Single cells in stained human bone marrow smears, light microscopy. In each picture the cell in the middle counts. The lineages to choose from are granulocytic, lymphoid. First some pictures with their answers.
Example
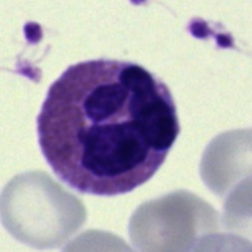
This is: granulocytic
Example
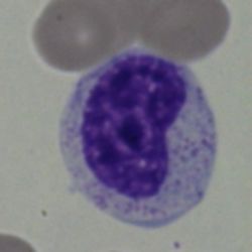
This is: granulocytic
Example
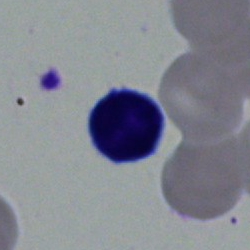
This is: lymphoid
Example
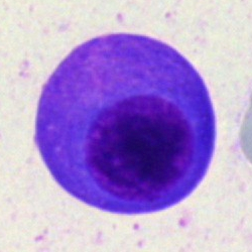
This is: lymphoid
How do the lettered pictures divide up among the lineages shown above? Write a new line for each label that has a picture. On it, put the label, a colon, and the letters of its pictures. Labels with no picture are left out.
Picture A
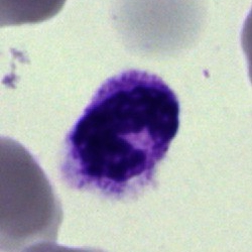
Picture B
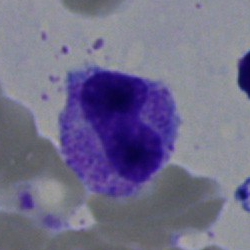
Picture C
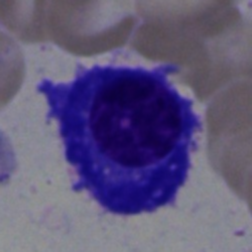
granulocytic: A, B
lymphoid: C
